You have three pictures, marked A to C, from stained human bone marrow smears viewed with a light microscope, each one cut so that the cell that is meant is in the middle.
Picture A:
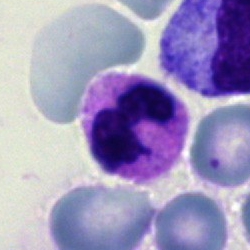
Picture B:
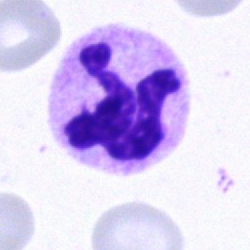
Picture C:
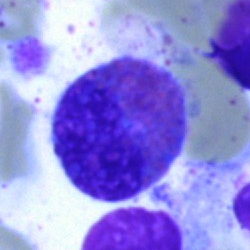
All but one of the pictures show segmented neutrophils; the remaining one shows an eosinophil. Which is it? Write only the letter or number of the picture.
C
